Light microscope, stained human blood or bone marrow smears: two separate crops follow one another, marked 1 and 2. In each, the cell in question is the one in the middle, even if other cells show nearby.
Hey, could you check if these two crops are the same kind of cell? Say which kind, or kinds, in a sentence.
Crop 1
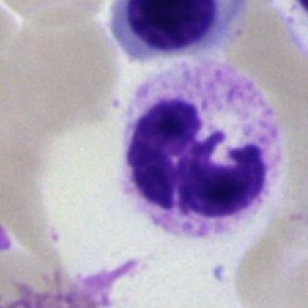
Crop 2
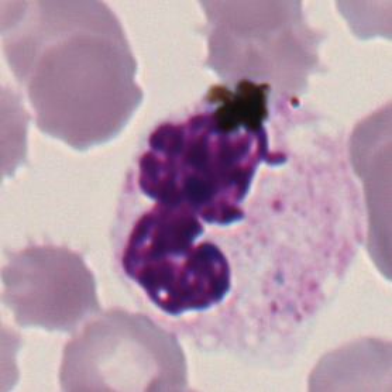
Yes, both crops show segmented neutrophils as the central cells.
